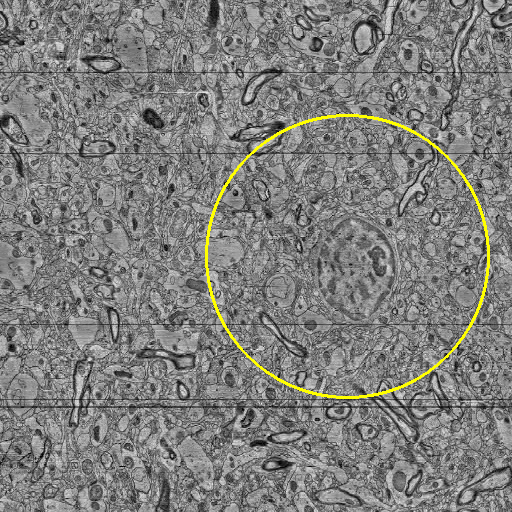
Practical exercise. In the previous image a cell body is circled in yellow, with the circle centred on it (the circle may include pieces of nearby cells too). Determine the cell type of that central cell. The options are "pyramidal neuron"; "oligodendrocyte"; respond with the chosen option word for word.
oligodendrocyte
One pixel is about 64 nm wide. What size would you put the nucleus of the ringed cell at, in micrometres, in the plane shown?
In this plane, the nucleus is roughly 6 by 5 micrometres.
